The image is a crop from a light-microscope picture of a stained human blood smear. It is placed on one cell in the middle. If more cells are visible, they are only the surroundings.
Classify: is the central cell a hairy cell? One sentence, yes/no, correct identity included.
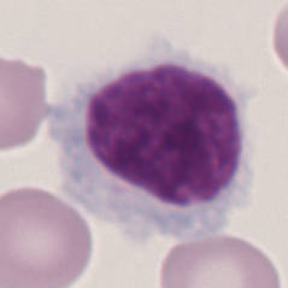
Yes, the cell at the center of the crop is a hairy cell.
